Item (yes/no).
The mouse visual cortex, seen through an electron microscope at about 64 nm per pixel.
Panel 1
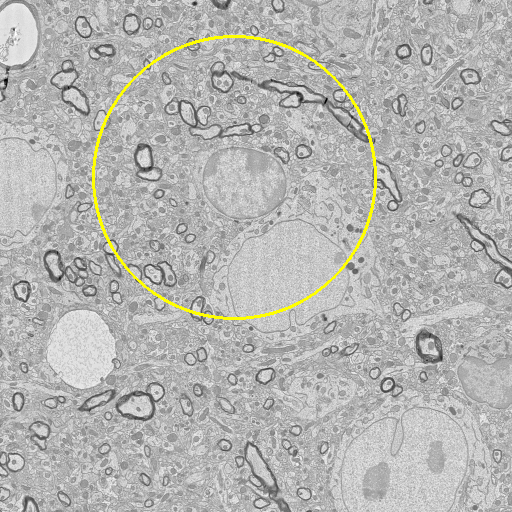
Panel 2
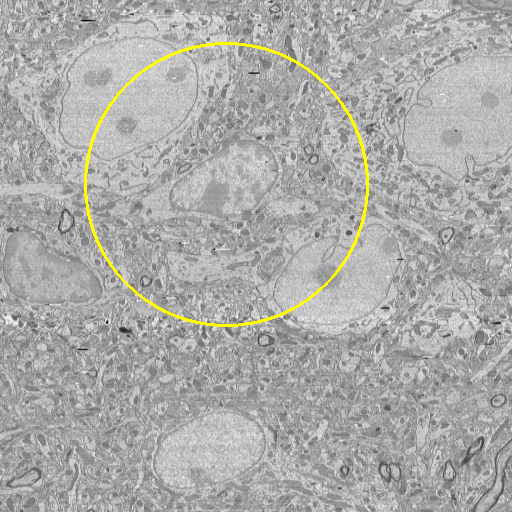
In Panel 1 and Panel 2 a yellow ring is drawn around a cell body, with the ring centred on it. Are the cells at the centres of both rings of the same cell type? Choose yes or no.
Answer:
yes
